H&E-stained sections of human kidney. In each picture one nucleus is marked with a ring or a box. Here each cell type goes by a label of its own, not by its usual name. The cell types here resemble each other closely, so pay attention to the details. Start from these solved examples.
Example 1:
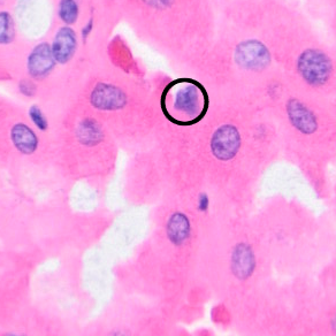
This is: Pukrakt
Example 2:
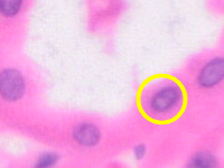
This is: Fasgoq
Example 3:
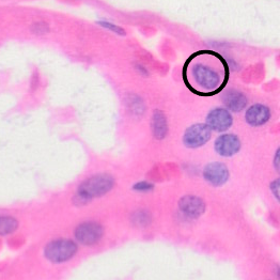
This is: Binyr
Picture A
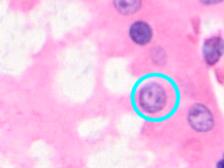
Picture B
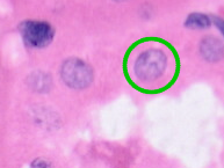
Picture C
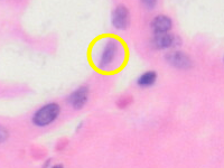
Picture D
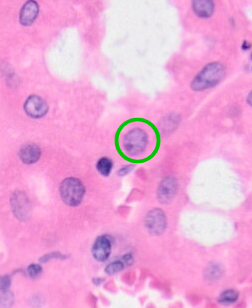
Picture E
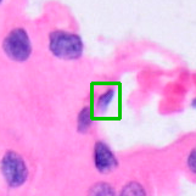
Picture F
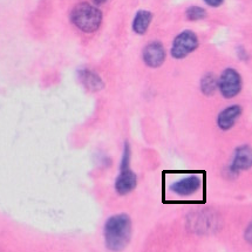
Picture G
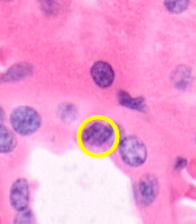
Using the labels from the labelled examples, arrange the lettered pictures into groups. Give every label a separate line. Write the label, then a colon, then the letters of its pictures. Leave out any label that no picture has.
Pukrakt: E, F
Fasgoq: A, B, D
Binyr: C, G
